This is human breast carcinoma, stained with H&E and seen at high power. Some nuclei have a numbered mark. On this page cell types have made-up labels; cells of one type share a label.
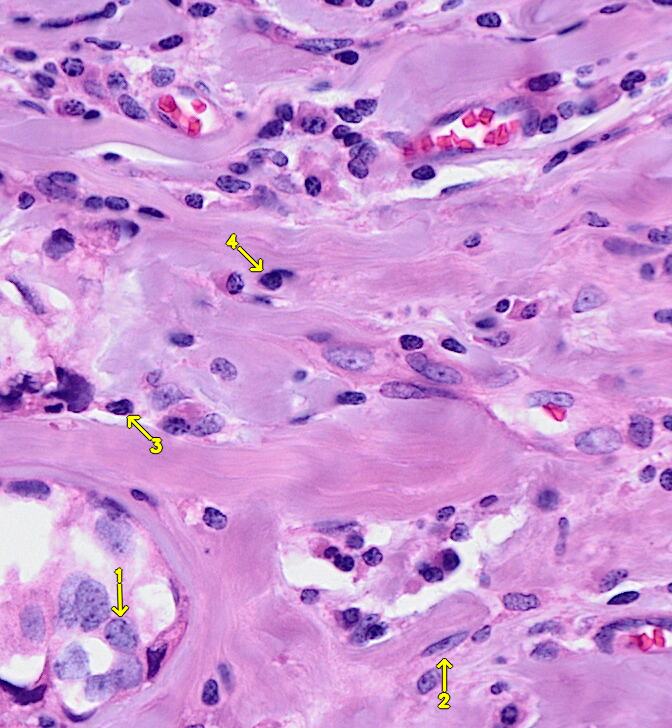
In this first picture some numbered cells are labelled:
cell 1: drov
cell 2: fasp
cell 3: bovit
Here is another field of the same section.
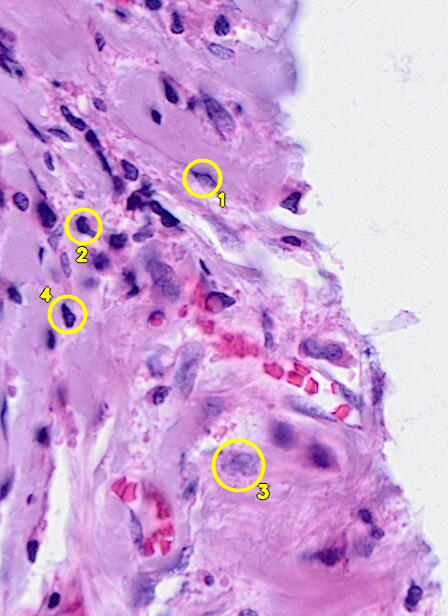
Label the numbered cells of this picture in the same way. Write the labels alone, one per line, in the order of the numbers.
fasp
bovit
fasp
bovit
